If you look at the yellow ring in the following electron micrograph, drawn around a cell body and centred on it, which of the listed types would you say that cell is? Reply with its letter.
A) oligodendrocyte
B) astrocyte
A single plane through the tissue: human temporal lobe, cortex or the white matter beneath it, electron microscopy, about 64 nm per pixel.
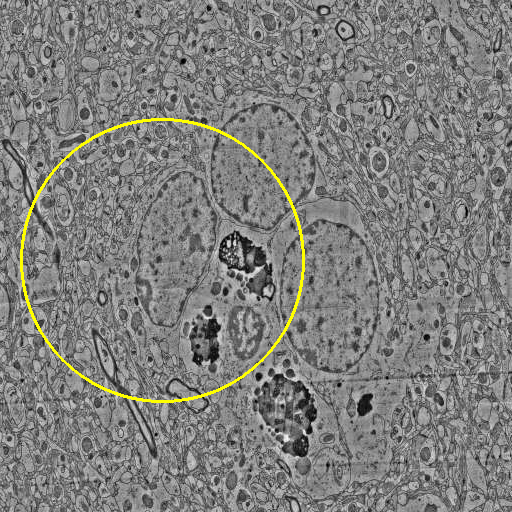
B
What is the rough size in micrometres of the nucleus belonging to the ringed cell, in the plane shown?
In this plane the nucleus is clearly longer than it is wide, at approximately 10 by 5 micrometres.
